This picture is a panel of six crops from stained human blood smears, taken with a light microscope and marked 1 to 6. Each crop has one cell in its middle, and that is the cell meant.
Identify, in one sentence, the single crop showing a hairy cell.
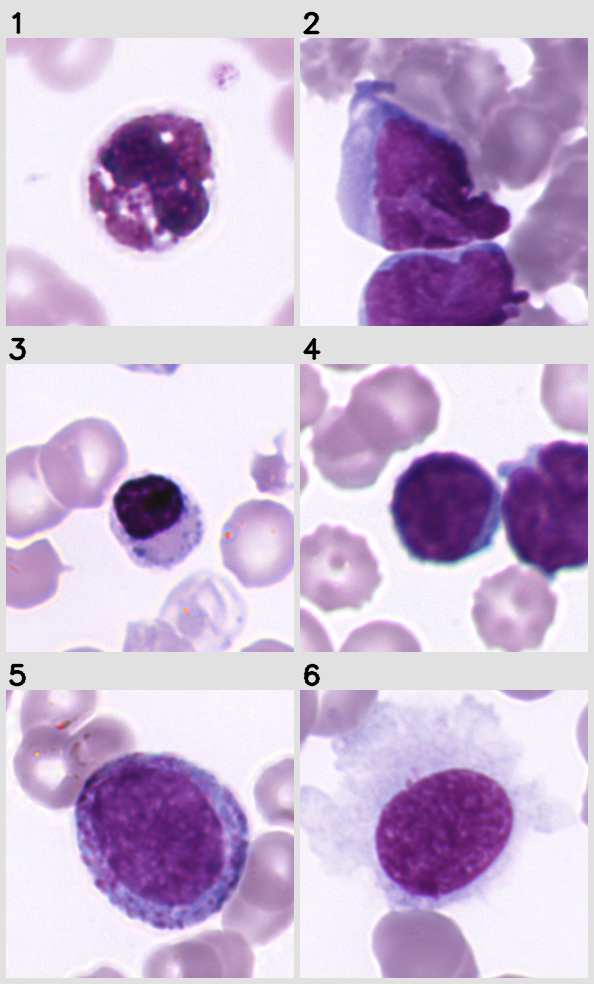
Crop 6 is the one that shows a hairy cell.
